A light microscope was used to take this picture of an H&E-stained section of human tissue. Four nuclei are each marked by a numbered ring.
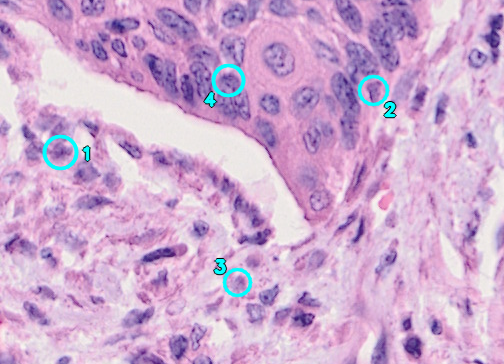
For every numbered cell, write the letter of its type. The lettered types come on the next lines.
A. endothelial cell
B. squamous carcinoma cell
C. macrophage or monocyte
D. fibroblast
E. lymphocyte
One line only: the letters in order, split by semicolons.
D; B; D; B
